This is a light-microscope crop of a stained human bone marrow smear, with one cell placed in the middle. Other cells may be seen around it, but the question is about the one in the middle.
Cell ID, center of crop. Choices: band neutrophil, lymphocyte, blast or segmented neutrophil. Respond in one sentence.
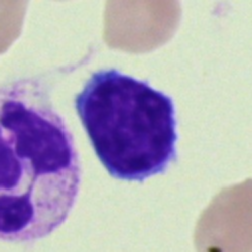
The identification for the central cell is a lymphocyte.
